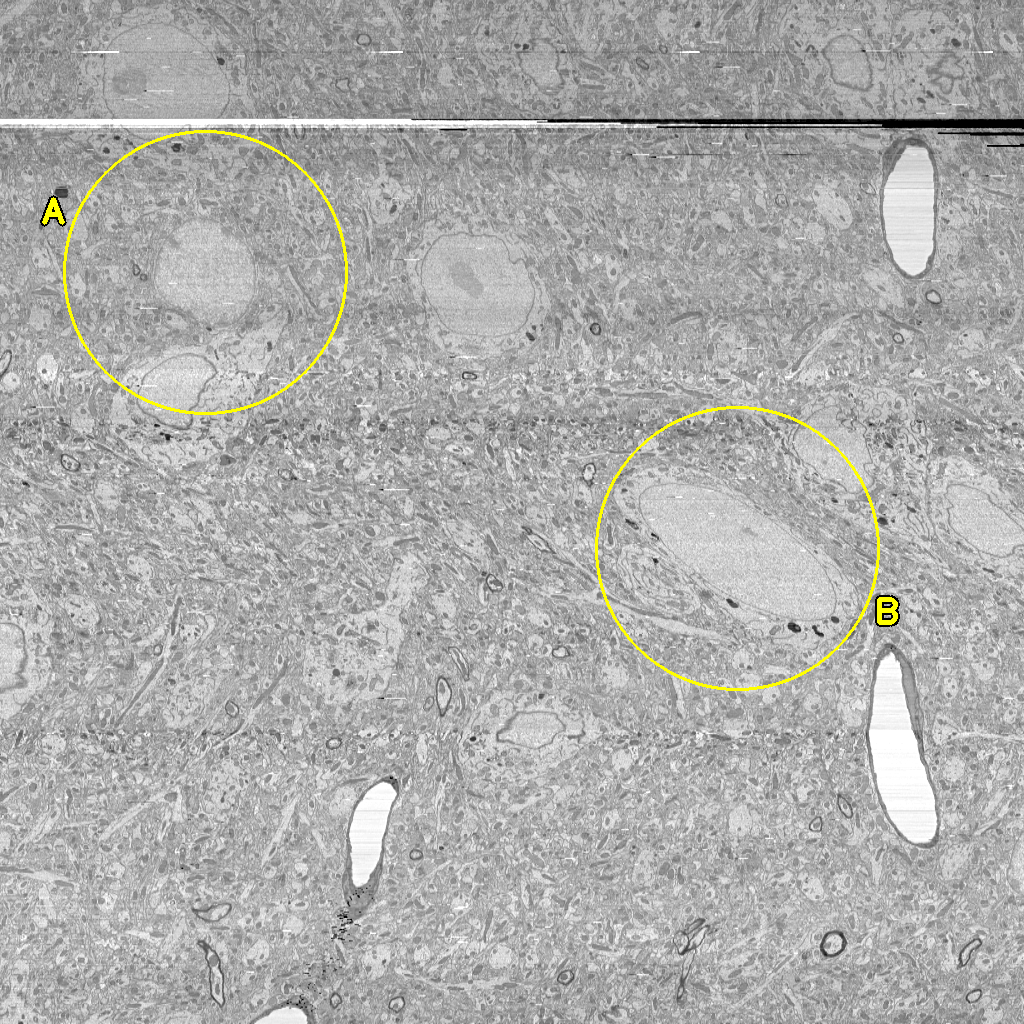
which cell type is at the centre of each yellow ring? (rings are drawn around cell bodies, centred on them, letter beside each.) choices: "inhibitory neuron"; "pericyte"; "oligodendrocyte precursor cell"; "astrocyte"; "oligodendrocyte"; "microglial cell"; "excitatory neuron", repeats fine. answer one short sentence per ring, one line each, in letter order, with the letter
Ring A is an astrocyte.
Ring B is an excitatory neuron.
